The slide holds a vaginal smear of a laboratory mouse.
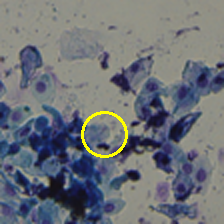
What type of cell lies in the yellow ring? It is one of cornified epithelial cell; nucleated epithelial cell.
The ringed cell is a cornified epithelial cell.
